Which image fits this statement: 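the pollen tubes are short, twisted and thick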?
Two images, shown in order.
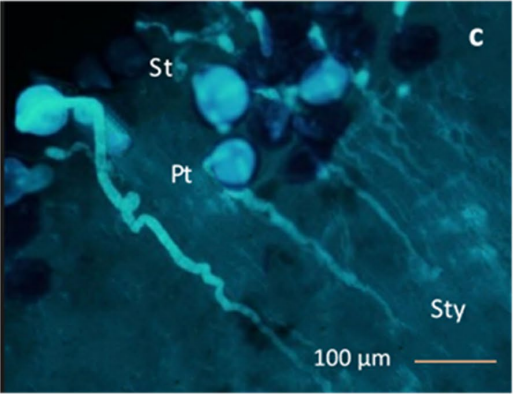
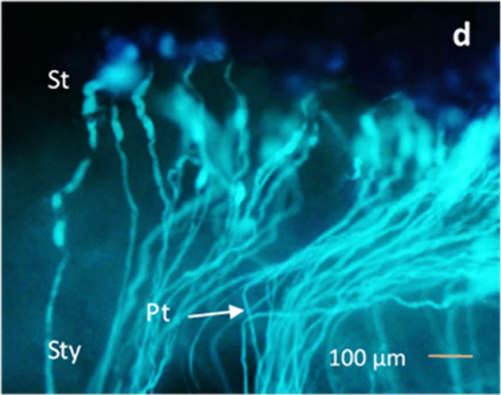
The first image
